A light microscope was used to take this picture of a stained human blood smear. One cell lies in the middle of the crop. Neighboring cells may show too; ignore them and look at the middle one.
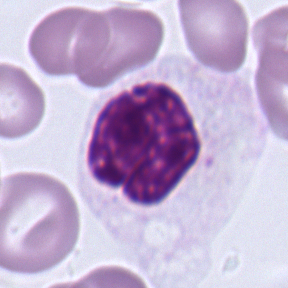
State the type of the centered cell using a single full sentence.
The crop centres on a single cell, and that cell is a neutrophil.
